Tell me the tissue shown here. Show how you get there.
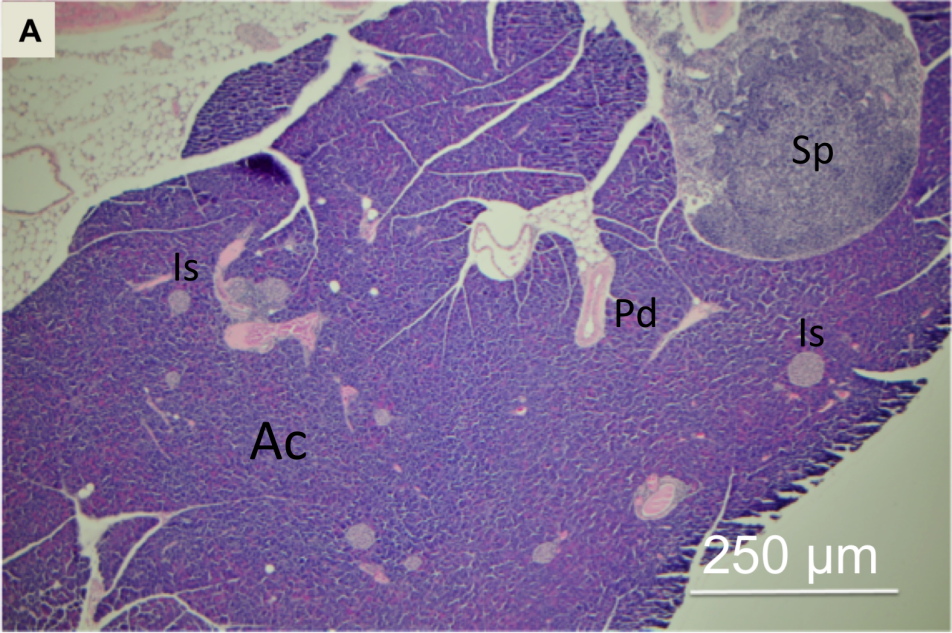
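Pancreas. Densely packed purple-staining glandular lobules. Scattered small pale round clusters within the purple parenchyma. Branching ducts and vessels run through the tissue.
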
